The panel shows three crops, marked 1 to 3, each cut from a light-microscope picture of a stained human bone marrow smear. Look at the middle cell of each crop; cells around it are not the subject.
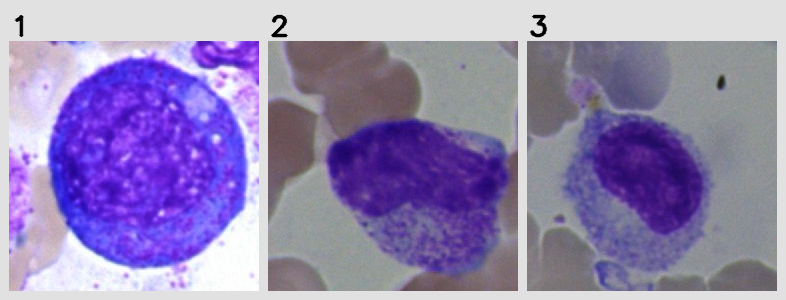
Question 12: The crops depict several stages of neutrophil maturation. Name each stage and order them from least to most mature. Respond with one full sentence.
The order of increasing maturity among the crops is crop 1 (a promyelocyte), crop 3 (a myelocyte) and crop 2 (a metamyelocyte).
